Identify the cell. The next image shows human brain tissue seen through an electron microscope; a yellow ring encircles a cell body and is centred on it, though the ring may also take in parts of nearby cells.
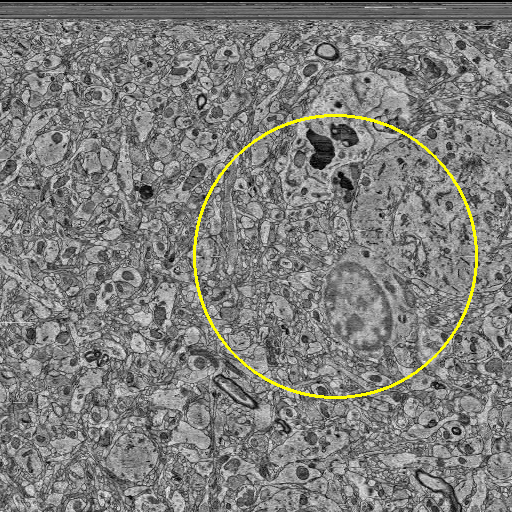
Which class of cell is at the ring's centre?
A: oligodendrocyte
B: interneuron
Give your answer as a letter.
A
